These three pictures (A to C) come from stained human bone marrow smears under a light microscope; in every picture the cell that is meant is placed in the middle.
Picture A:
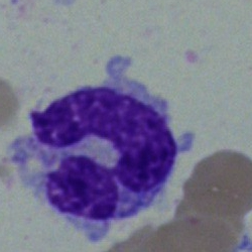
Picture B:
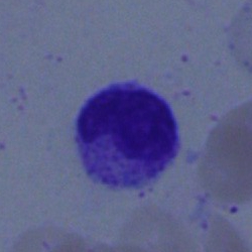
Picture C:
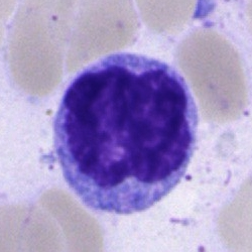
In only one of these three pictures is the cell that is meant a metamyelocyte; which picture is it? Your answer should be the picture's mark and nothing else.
B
